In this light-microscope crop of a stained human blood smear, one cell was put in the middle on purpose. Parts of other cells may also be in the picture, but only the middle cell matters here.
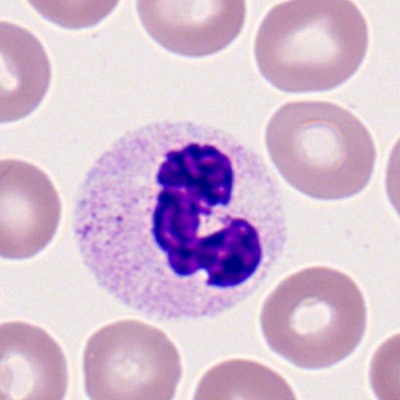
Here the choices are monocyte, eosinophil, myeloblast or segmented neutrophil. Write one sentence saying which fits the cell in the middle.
Classified as a segmented neutrophil is the cell in the middle of this crop.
